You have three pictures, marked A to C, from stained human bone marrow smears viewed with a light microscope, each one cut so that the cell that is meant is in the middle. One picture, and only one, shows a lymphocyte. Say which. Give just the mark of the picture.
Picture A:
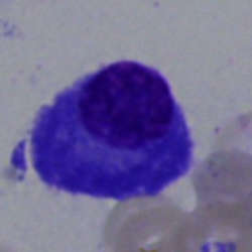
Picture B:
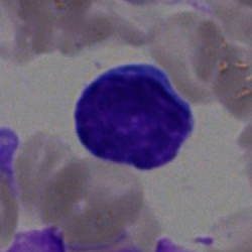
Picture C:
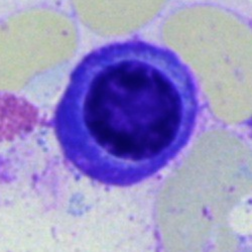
B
